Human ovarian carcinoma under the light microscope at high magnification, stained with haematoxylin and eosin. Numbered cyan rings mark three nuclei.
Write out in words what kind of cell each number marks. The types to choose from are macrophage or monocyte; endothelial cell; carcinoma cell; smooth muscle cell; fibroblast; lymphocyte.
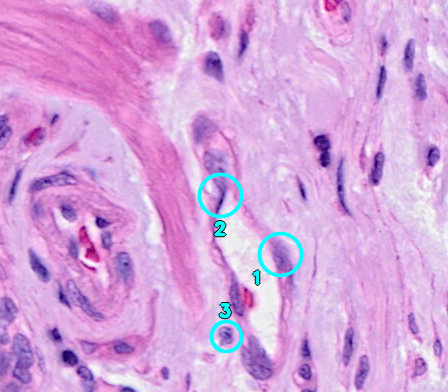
Cells 1 and 2 are endothelial cells. Cell 3 is a lymphocyte.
